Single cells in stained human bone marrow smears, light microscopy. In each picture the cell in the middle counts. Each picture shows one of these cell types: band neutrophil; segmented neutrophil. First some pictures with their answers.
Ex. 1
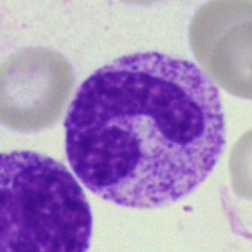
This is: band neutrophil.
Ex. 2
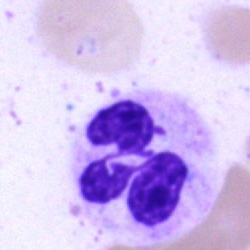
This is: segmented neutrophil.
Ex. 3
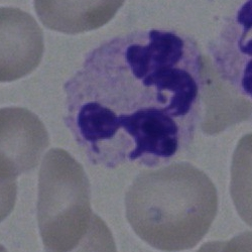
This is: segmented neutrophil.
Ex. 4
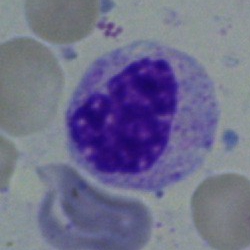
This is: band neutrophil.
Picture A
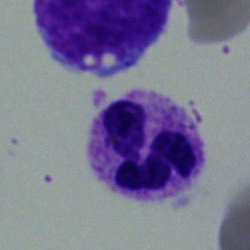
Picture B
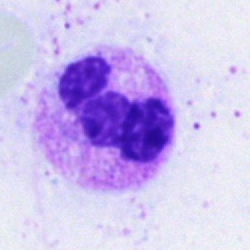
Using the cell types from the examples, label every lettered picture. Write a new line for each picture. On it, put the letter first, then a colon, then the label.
A: segmented neutrophil.
B: segmented neutrophil.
